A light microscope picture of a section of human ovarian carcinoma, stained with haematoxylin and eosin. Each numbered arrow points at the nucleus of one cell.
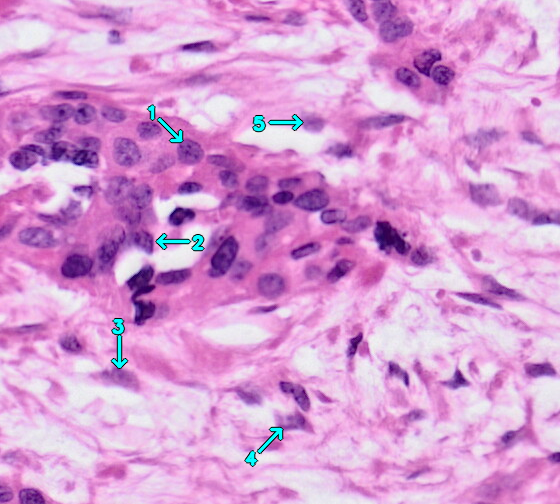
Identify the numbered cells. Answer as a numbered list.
1. carcinoma cell
2. carcinoma cell
3. fibroblast
4. fibroblast
5. fibroblast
